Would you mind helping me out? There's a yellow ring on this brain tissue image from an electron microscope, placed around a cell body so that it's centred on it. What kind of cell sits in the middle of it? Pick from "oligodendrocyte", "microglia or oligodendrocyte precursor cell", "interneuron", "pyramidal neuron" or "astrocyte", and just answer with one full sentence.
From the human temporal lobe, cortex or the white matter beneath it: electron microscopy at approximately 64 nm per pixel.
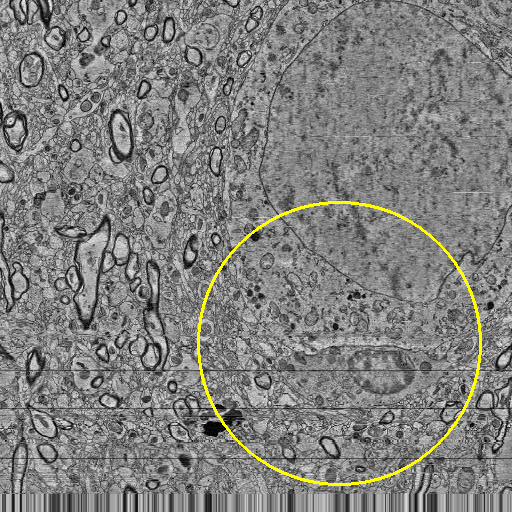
What sits in the middle of that yellow ring is an oligodendrocyte, from your choices.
